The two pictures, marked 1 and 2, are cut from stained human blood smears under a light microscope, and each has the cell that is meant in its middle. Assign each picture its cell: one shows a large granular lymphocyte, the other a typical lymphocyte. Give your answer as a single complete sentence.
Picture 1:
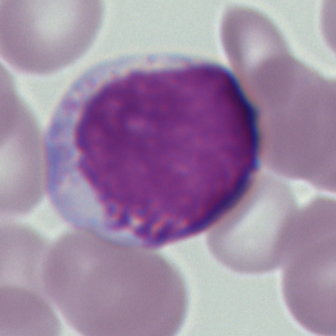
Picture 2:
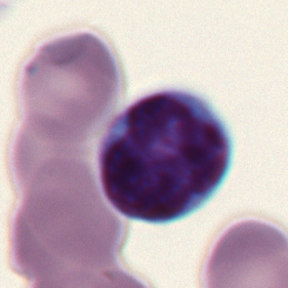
Picture 2 shows a typical lymphocyte, while picture 1 shows a large granular lymphocyte.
